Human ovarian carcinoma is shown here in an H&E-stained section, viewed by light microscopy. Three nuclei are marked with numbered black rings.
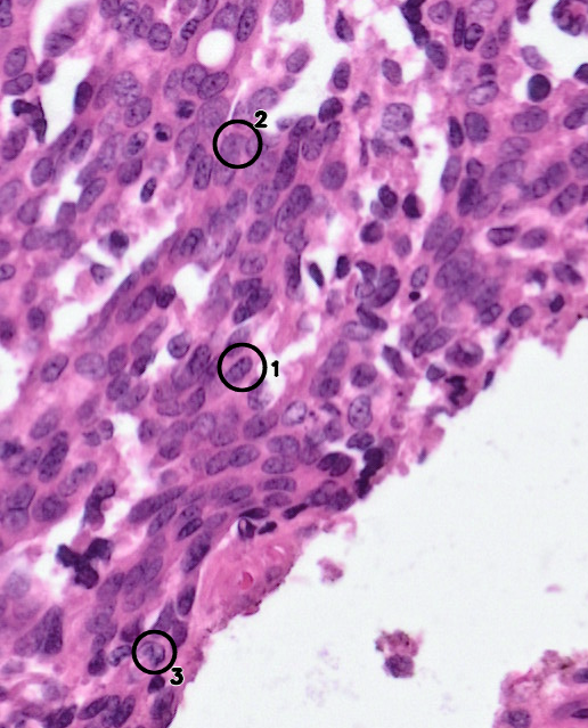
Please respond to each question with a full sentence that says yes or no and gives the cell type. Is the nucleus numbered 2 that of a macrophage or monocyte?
No, the right label for cell 2 is a carcinoma cell rather than a macrophage or monocyte.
